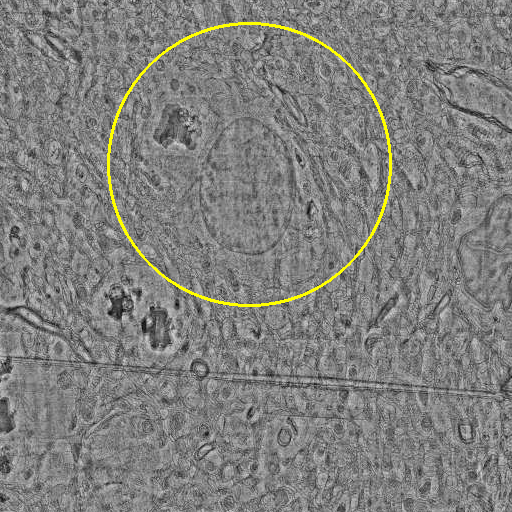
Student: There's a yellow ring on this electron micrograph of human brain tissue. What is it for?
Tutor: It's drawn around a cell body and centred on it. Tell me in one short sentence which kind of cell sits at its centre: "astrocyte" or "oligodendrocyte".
The cell at the centre of the ring is an astrocyte.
